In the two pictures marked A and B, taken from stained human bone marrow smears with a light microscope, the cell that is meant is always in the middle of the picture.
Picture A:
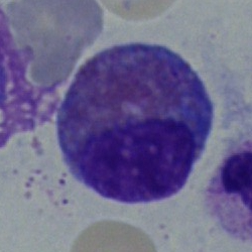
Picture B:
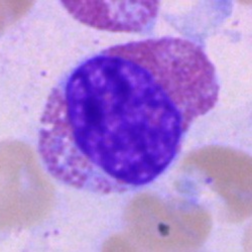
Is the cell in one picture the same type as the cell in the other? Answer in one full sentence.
Yes, they are the same type: both are eosinophils.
